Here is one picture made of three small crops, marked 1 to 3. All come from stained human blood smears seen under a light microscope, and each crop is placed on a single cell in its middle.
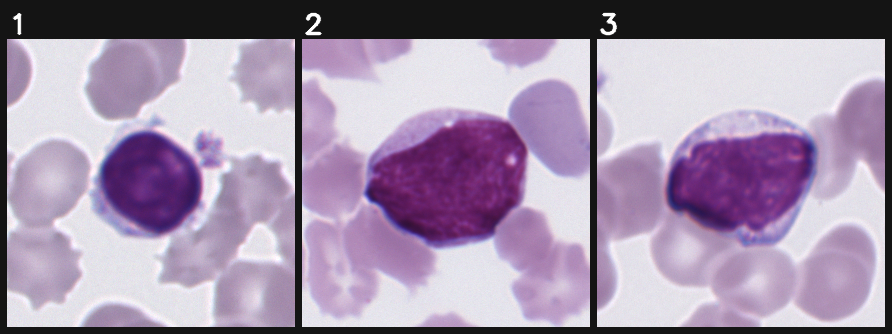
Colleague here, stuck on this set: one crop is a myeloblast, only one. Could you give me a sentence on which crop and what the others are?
Crop 2 shows a myeloblast, and as for the other crops, crop 1 is a typical lymphocyte and crop 3 is a large granular lymphocyte.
